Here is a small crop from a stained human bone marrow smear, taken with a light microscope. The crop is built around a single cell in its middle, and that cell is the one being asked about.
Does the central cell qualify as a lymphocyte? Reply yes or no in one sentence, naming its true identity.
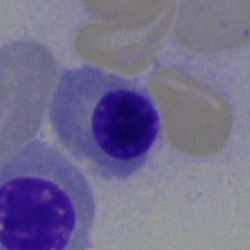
No, the middle cell is not a lymphocyte, it being a normoblast.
